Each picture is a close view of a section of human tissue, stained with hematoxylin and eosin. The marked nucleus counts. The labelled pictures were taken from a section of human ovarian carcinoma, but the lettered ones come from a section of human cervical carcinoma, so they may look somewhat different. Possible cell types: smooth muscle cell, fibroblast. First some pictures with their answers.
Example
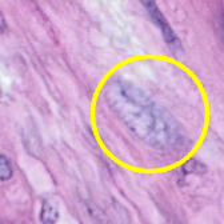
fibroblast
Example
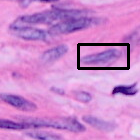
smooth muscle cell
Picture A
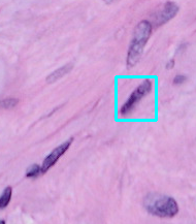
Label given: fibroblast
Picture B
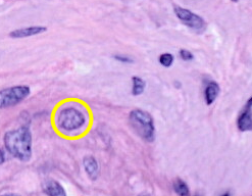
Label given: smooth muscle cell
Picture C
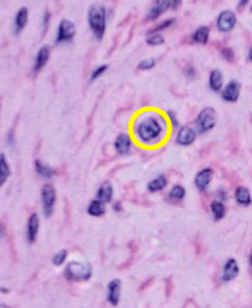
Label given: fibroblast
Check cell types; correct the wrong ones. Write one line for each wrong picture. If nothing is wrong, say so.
C should be smooth muscle cell, not fibroblast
